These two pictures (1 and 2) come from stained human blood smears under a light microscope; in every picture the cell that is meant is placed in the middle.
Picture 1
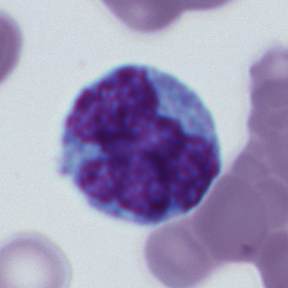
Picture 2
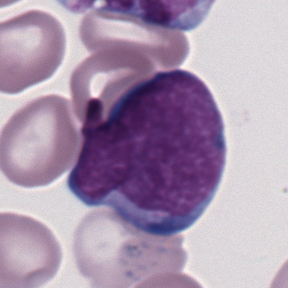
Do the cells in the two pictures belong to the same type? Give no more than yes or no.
no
